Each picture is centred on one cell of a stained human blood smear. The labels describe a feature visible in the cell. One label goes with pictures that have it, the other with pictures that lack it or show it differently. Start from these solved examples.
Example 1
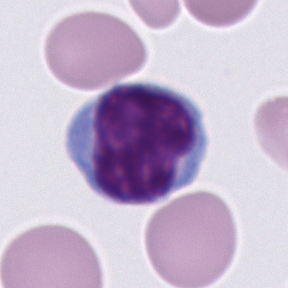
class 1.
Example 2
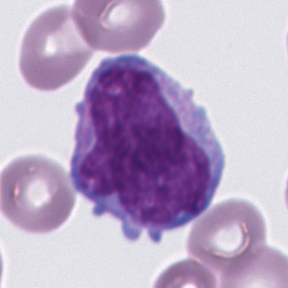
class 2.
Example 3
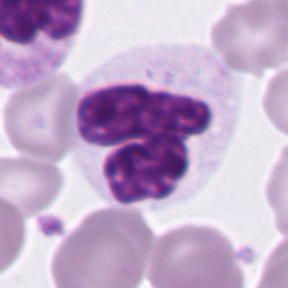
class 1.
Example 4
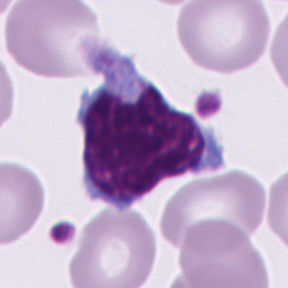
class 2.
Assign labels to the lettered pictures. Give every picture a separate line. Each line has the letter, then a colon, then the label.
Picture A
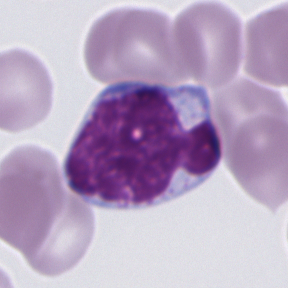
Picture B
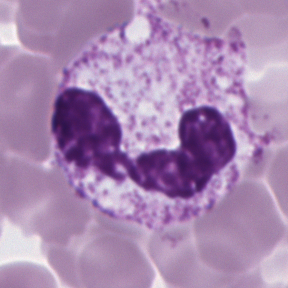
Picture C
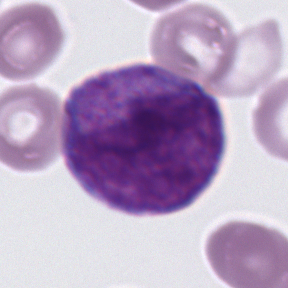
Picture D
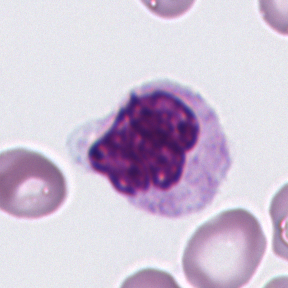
A: class 1.
B: class 2.
C: class 1.
D: class 2.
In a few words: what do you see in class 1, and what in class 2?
Seen in class 1: smooth outline; seen in class 2: ragged outline or projections.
